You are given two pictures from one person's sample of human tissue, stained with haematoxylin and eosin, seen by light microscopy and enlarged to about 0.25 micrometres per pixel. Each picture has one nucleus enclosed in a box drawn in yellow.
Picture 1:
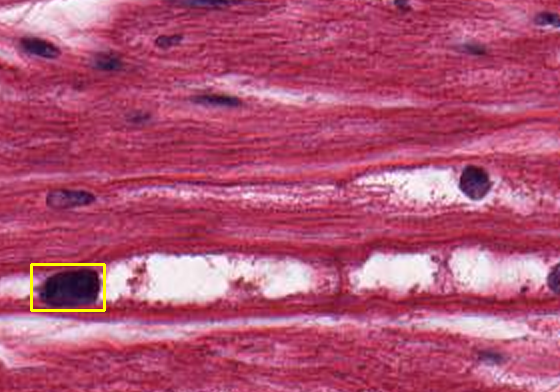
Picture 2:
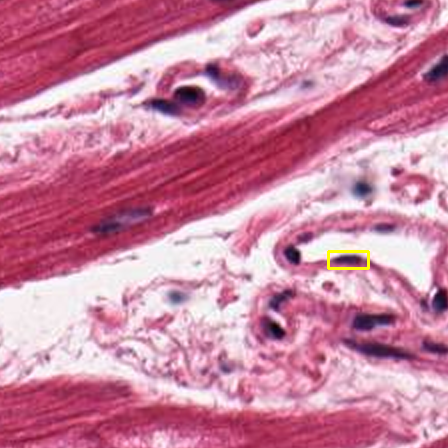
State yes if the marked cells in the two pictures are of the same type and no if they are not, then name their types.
No, the first is a cardiomyocyte and the second an endothelial cell.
